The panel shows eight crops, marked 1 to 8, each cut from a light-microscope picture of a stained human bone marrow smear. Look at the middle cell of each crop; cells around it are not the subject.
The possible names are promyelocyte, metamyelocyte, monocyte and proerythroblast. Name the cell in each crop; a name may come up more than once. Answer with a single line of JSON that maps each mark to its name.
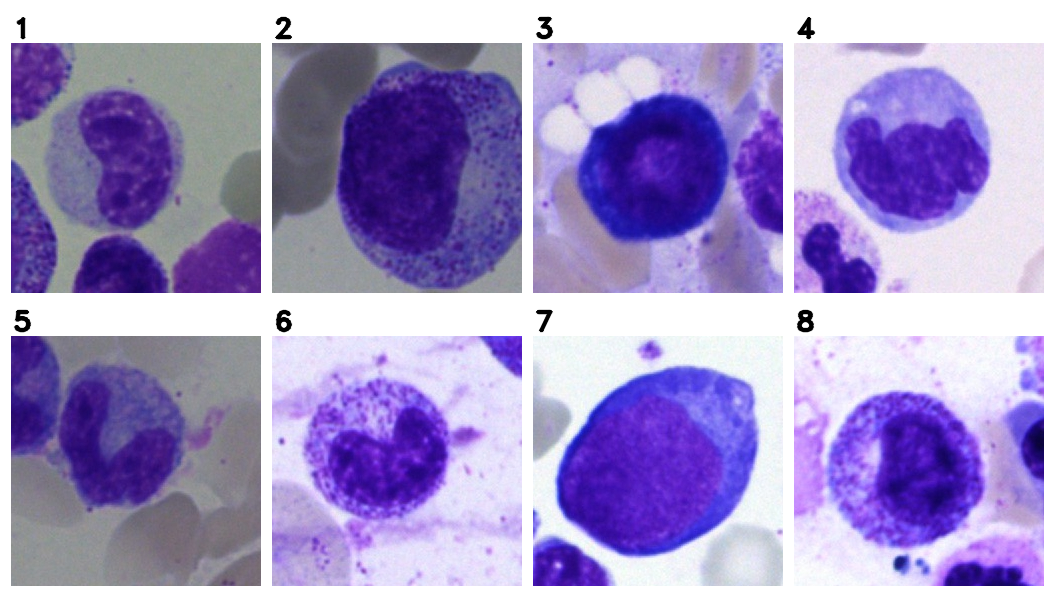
{"1": "metamyelocyte", "2": "promyelocyte", "3": "proerythroblast", "4": "monocyte", "5": "monocyte", "6": "metamyelocyte", "7": "proerythroblast", "8": "promyelocyte"}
